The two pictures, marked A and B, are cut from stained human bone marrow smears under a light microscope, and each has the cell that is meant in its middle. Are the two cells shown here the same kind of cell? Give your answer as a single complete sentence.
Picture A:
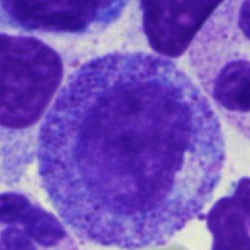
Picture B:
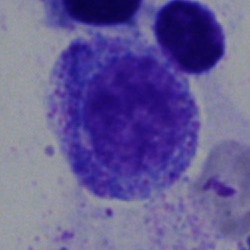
Yes, the two pictures both show promyelocytes.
